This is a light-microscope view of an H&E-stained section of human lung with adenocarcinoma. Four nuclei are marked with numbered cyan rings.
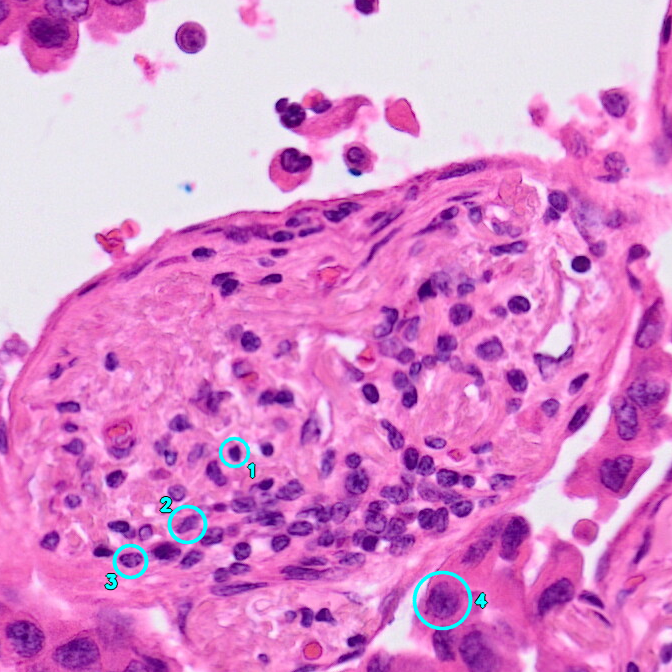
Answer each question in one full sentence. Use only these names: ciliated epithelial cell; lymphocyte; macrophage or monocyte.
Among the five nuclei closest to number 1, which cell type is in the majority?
The majority of the five nuclei closest to number 1 belong to macrophages or monocytes.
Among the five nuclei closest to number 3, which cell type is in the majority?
Most of the five nuclei nearest to number 3 are those of lymphocytes.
